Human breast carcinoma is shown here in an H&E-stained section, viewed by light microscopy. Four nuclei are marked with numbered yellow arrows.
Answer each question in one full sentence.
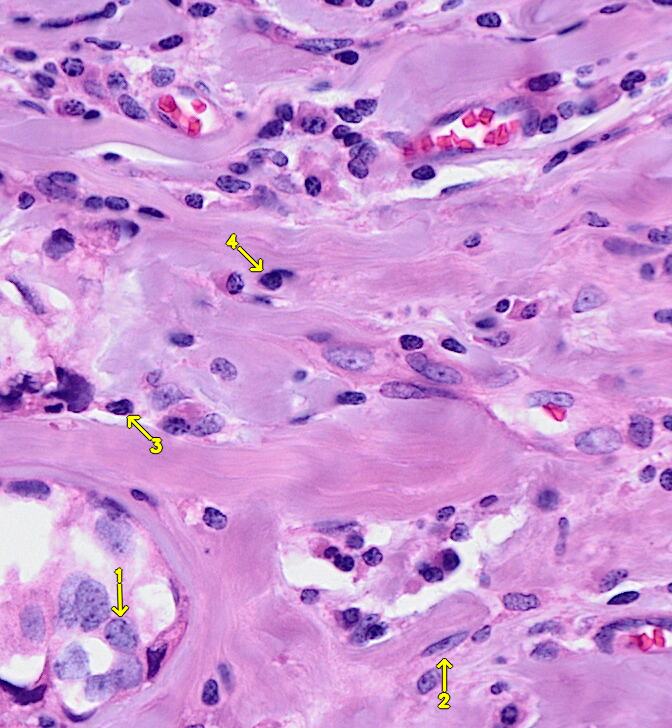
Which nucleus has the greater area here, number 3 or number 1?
Nucleus 1 covers more area, about 2 times as much as nucleus 3.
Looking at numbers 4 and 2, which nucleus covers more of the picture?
It is nucleus 2, which covers about 1.5 times the area of nucleus 4.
